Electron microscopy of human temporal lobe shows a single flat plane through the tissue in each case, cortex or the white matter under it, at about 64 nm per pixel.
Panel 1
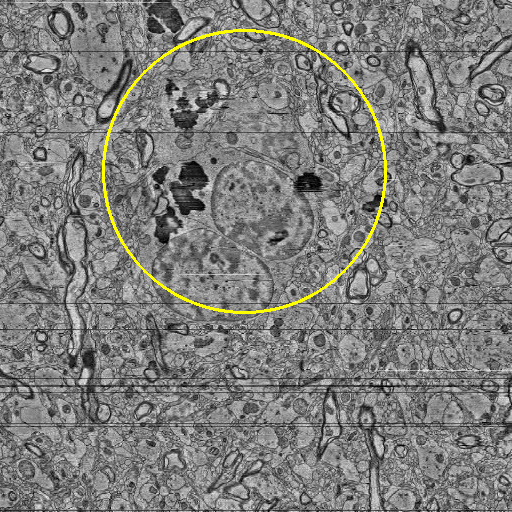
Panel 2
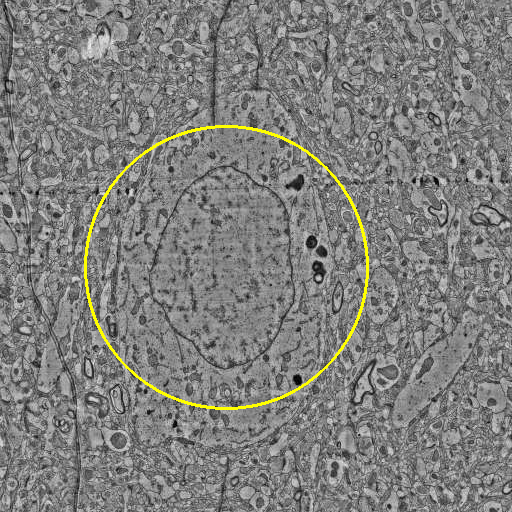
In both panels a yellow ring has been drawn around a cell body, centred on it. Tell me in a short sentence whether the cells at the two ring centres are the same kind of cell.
No, they are two kinds of cell.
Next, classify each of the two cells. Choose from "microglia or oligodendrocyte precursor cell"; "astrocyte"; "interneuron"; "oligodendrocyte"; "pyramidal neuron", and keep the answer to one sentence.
In the first picture it is an oligodendrocyte; in the second it is a pyramidal neuron.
